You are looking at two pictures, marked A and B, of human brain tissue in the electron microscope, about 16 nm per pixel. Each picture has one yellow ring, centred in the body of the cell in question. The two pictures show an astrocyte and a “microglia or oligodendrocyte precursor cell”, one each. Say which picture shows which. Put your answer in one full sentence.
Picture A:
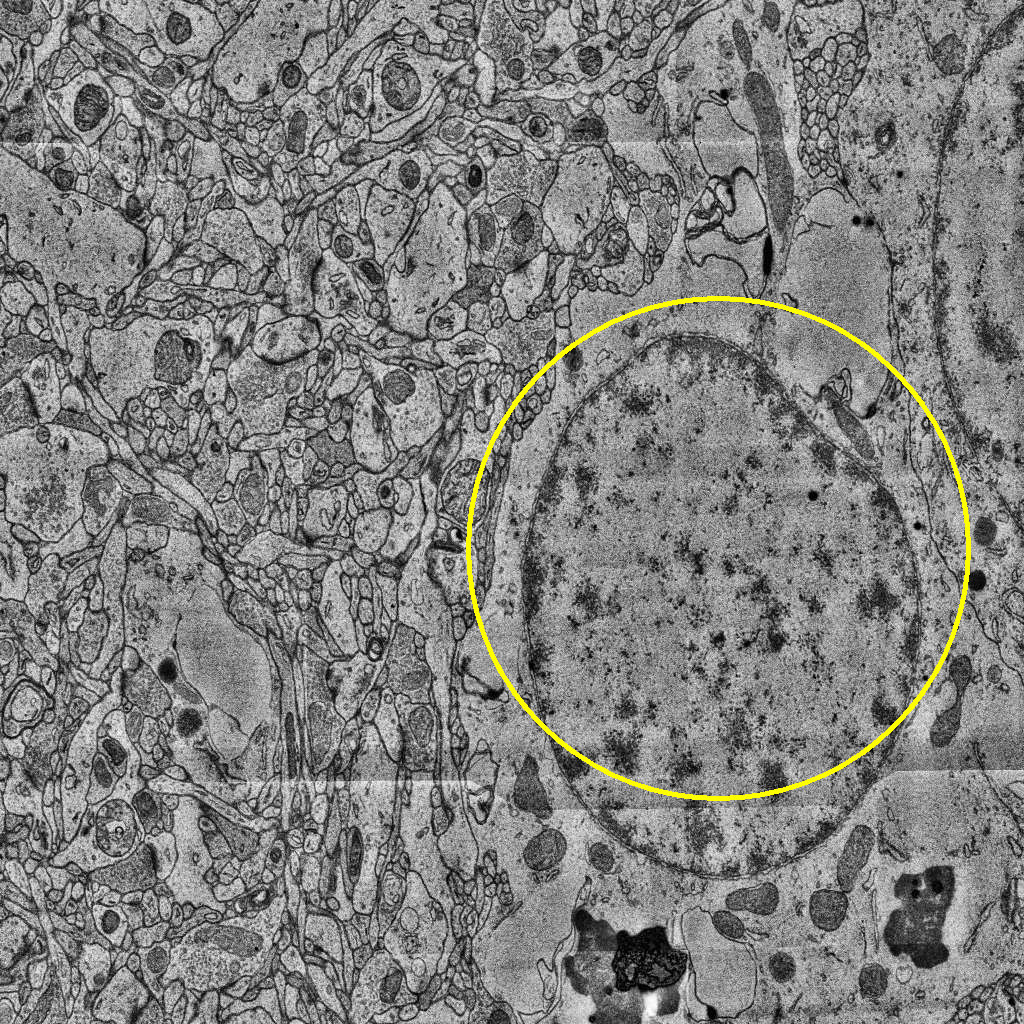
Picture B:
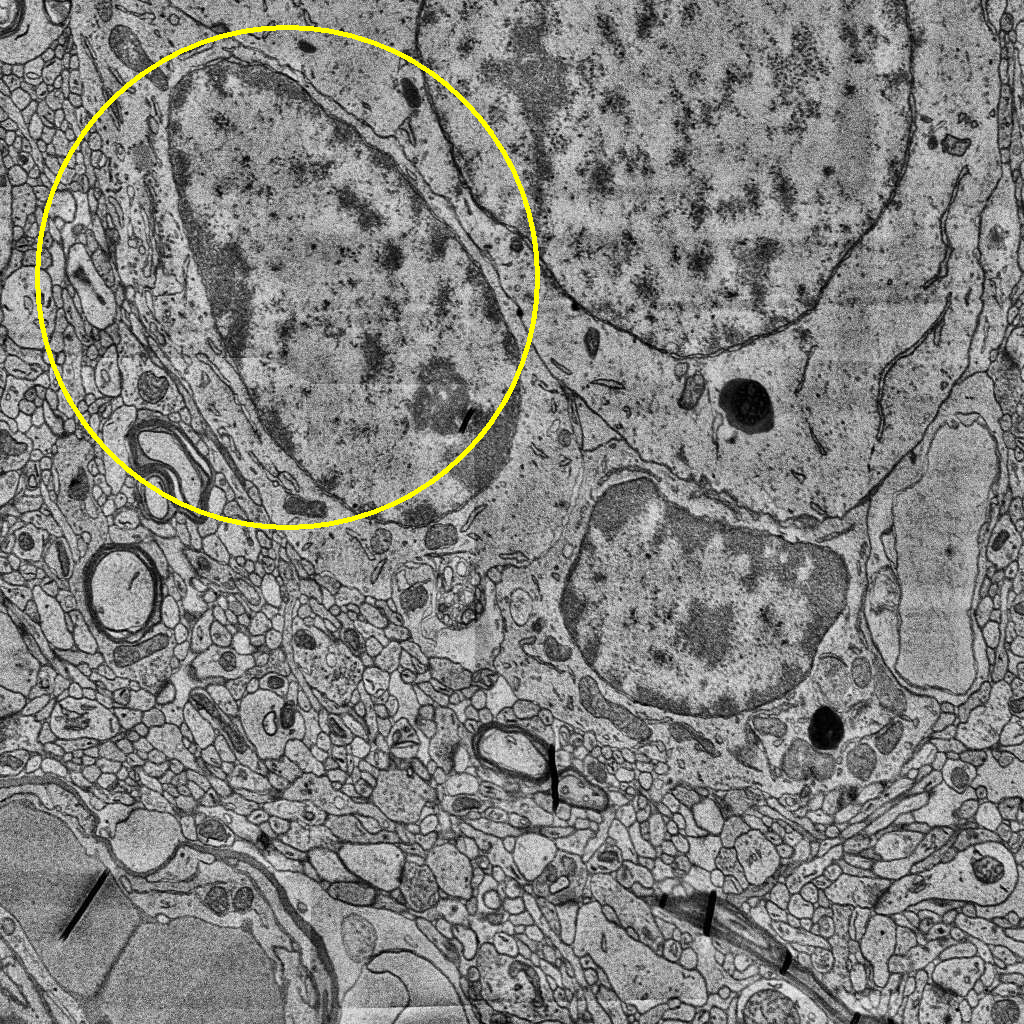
The cell in picture A is an astrocyte, and the one in picture B is a “microglia or oligodendrocyte precursor cell”.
